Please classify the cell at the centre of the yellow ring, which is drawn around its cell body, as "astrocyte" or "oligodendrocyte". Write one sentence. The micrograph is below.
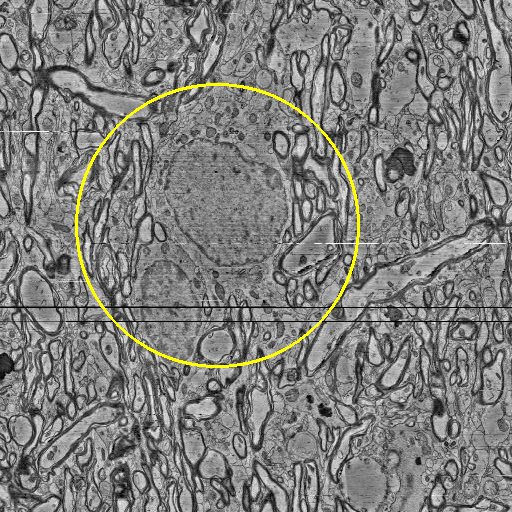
The cell at the ring's centre is classified as an astrocyte.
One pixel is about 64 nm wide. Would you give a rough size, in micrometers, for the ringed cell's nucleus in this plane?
The nucleus measures about 9 by 8 micrometres in this plane.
